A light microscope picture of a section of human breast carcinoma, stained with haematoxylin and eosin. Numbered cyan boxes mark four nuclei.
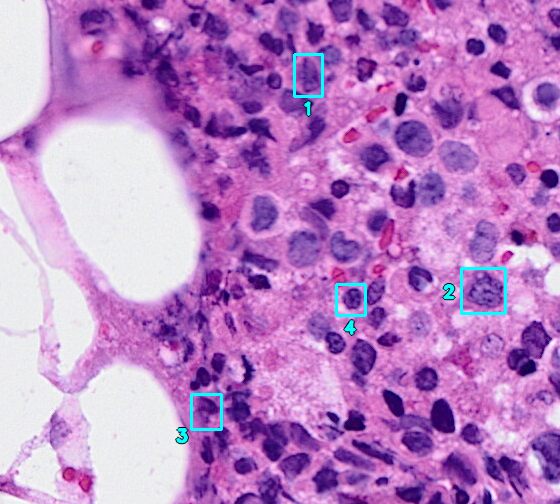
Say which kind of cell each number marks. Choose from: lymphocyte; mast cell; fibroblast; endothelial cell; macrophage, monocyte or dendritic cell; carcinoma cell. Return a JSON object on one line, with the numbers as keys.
{"1": "carcinoma cell", "2": "carcinoma cell", "3": "carcinoma cell", "4": "lymphocyte"}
